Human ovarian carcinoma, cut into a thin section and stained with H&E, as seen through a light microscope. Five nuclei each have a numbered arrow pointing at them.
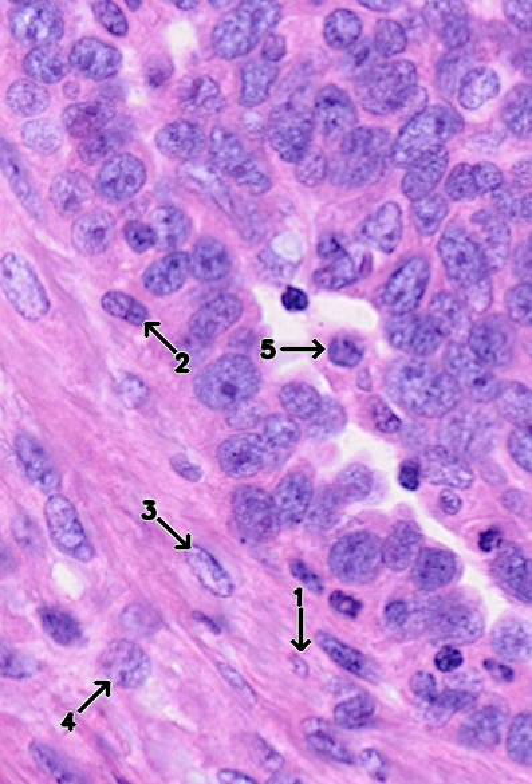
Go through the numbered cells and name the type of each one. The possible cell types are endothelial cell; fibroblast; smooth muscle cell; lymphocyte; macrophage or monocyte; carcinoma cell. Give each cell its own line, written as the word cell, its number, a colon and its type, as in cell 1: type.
cell 1: fibroblast
cell 2: macrophage or monocyte
cell 3: fibroblast
cell 4: fibroblast
cell 5: macrophage or monocyte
